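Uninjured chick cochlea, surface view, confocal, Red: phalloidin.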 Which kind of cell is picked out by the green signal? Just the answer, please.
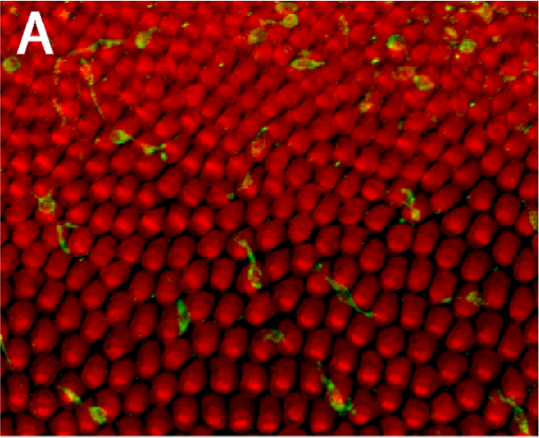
Macrophages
